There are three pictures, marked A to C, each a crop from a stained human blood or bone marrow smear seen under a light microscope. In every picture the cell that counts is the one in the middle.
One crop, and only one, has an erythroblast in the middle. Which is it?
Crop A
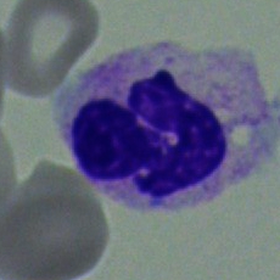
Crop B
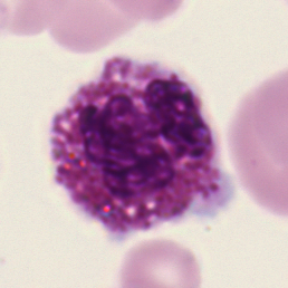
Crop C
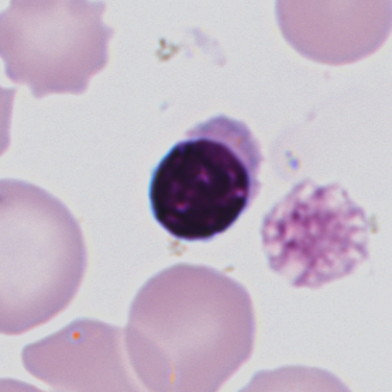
C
